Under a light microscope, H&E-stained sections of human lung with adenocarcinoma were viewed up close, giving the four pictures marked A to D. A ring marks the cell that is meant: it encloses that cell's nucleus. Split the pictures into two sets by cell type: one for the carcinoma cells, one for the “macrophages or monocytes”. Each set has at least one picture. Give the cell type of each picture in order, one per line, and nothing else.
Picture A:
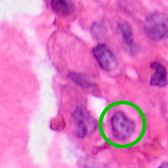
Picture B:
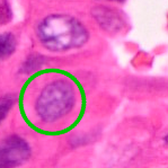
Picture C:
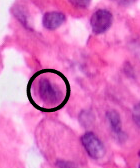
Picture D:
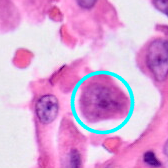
macrophage or monocyte
carcinoma cell
macrophage or monocyte
carcinoma cell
